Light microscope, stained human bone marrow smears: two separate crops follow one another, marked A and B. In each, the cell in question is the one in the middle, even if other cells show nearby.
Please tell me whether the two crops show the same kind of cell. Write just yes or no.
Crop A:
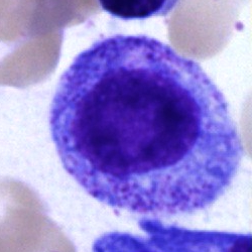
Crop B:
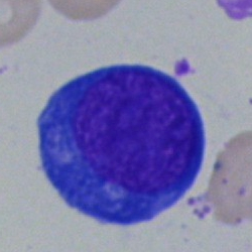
no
